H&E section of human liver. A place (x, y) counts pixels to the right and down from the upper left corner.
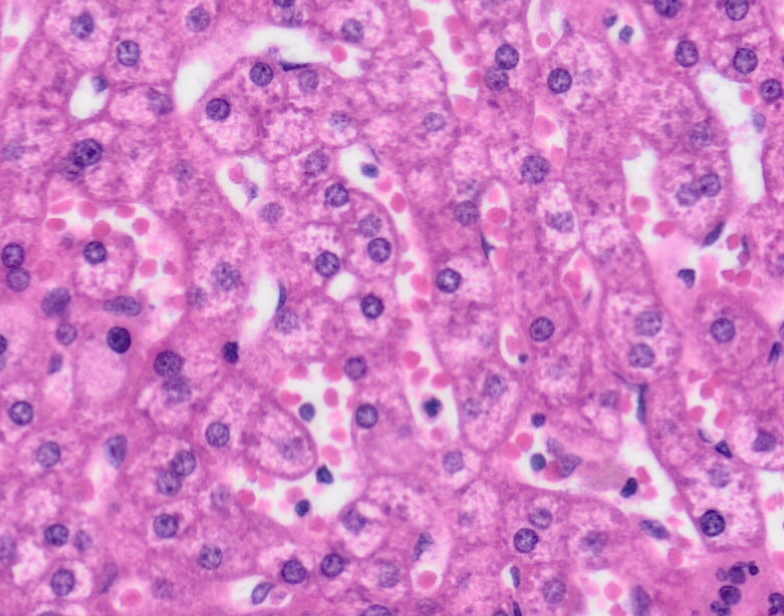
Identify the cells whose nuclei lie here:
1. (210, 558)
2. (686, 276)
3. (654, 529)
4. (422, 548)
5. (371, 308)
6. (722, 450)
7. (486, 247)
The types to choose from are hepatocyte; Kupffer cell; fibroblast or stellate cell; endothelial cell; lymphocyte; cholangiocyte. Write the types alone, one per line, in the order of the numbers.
hepatocyte
lymphocyte
Kupffer cell
endothelial cell
hepatocyte
fibroblast or stellate cell
endothelial cell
